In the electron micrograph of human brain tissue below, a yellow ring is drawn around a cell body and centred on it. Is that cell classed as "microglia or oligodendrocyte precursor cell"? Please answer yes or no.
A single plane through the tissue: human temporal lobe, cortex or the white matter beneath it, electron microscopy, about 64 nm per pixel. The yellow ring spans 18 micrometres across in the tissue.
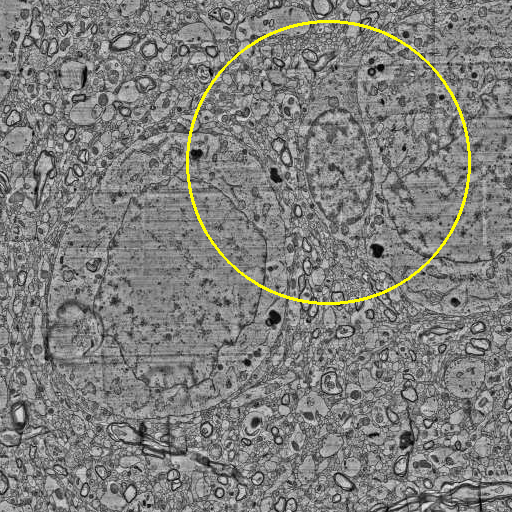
no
